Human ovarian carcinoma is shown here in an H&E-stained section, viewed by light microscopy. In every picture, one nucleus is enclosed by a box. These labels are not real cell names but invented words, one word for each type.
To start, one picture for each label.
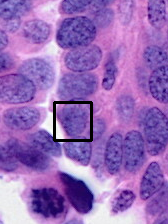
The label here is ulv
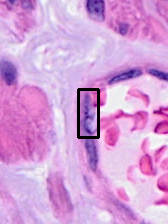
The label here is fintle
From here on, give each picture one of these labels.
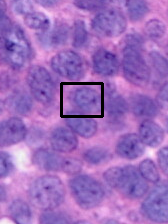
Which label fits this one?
ulv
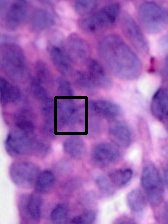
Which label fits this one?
ulv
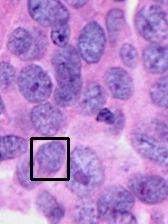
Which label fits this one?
ulv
